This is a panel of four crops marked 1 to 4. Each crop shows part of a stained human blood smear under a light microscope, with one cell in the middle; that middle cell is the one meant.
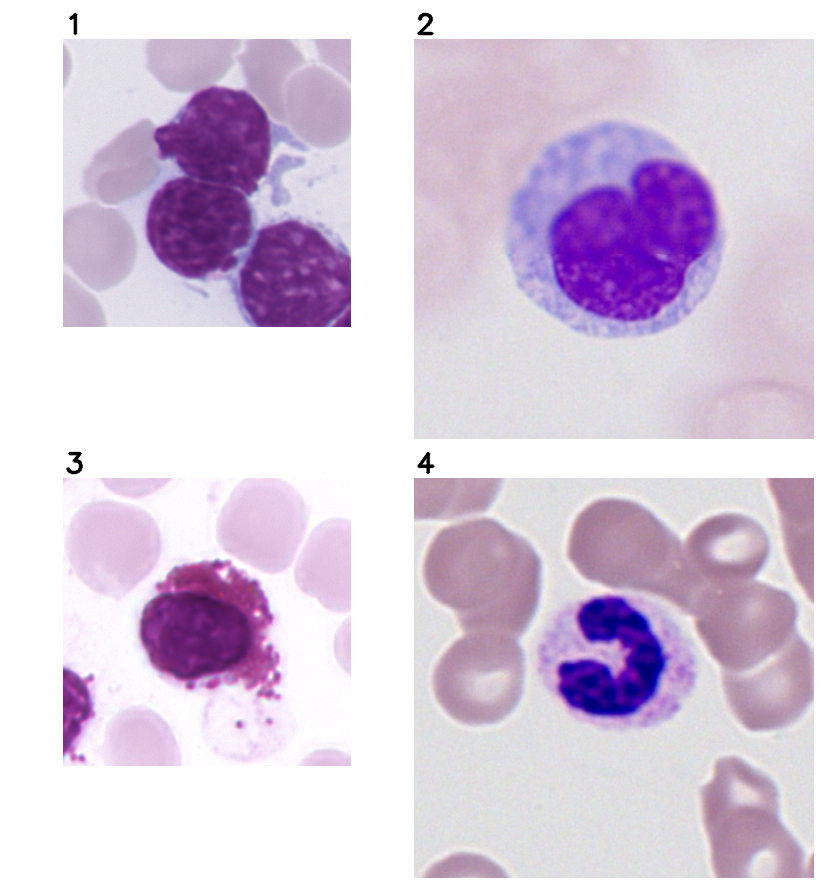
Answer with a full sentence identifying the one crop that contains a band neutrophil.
As for which crop shows a band neutrophil, it is crop 4.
